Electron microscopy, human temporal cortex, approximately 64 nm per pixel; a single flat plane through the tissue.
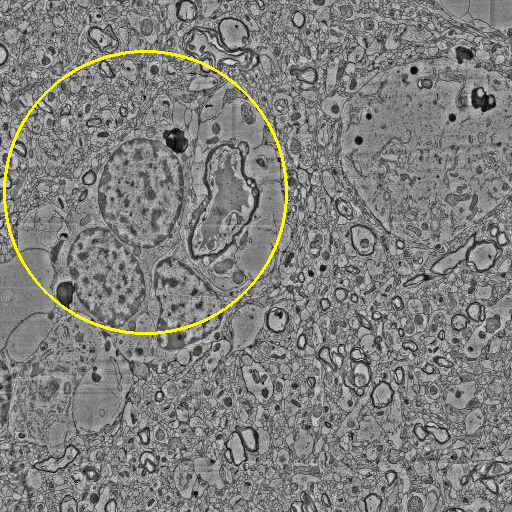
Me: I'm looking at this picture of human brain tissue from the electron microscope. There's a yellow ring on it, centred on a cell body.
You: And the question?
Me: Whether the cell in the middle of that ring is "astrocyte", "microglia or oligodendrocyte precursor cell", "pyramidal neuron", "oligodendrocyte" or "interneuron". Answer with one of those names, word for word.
oligodendrocyte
